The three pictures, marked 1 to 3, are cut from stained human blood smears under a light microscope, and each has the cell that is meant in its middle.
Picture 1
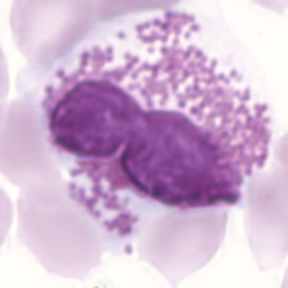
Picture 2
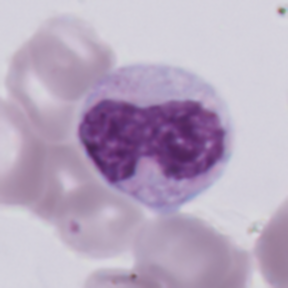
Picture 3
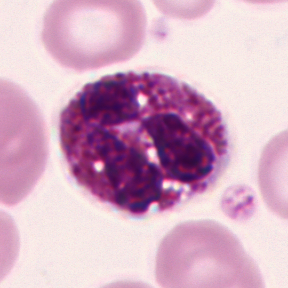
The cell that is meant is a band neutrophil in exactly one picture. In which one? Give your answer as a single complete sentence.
Picture 2 shows the band neutrophil.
